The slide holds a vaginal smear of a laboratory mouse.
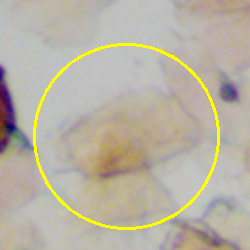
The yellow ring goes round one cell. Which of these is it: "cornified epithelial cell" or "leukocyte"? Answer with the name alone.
cornified epithelial cell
